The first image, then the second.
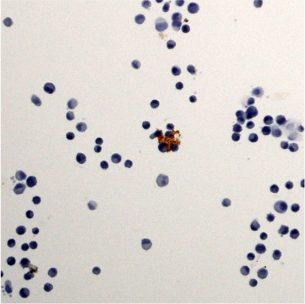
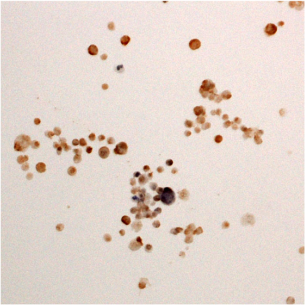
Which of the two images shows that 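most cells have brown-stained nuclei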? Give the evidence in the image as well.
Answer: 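Second image: nearly all cells in the clusters are brown. First image: almost all cells are blue, with only one small brown cluster. That points to this answer: the second image.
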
